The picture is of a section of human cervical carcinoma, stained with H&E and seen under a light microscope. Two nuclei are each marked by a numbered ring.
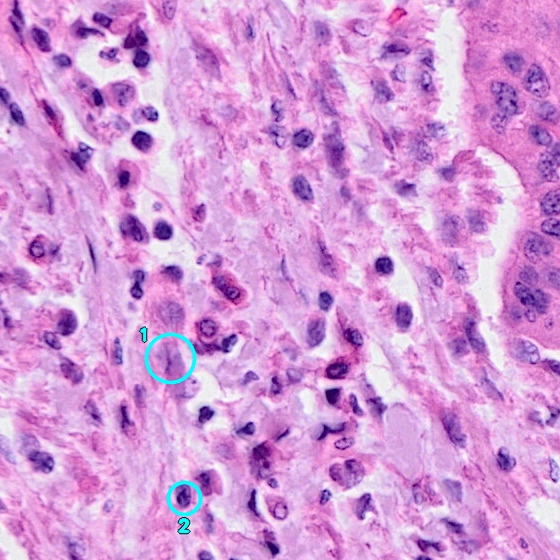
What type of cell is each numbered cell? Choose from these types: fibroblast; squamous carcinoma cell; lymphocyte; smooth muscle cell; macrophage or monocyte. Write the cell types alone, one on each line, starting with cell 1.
fibroblast
lymphocyte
